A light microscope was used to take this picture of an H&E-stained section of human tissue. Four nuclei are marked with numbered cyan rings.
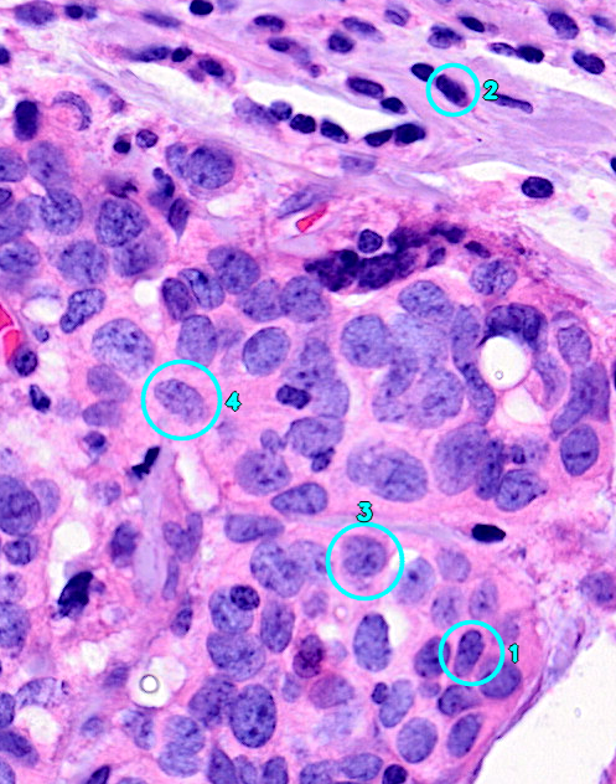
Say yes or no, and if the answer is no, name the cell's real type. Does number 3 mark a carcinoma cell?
Yes.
